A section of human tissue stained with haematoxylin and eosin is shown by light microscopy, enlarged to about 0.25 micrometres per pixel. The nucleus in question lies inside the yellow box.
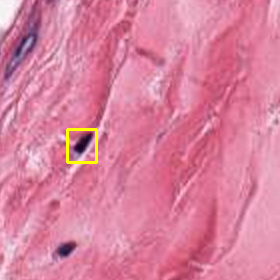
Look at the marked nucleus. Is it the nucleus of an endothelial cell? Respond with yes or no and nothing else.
no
